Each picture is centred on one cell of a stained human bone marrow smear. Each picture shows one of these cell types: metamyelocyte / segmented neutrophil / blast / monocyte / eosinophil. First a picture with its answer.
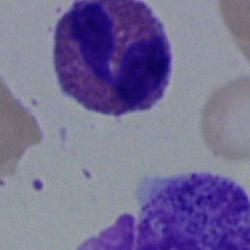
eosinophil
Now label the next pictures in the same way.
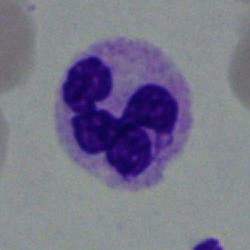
segmented neutrophil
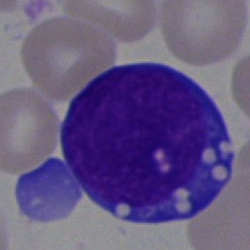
blast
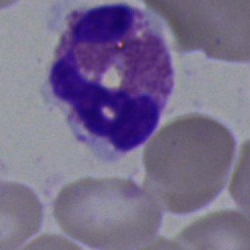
eosinophil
